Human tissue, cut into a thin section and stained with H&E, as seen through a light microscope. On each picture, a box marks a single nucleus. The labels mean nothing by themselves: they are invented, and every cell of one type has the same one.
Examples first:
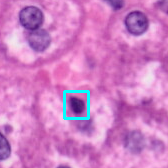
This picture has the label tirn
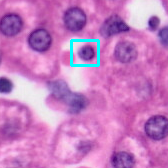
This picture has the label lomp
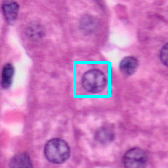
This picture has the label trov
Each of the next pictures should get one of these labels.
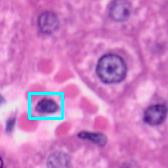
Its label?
lomp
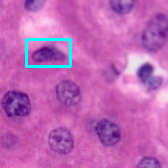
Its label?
tirn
